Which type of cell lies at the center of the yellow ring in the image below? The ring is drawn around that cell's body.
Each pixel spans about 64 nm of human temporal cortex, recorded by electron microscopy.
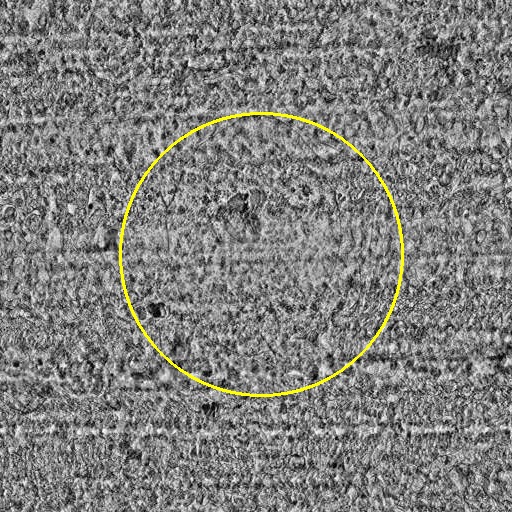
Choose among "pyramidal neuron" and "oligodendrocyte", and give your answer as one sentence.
The cell body at the center belongs to a pyramidal neuron.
